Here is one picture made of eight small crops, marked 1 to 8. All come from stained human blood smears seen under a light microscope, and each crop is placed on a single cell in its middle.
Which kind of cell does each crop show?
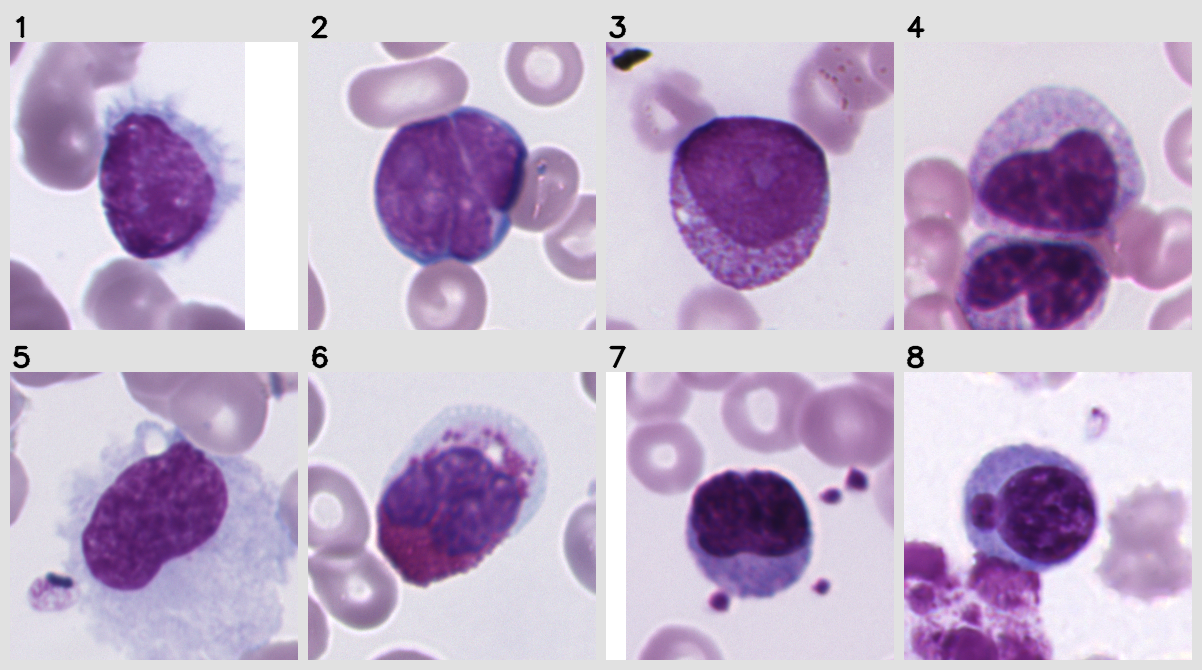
1: hairy cell
2: blast
3: myelocyte
4: metamyelocyte
5: hairy cell
6: eosinophil
7: monocyte
8: plasma cell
